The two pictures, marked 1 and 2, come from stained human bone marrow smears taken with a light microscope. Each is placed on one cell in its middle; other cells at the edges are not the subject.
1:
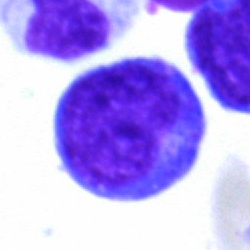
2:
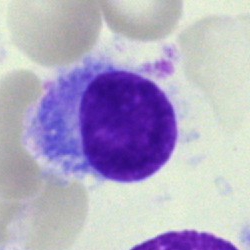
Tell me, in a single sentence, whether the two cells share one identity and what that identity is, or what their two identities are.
No, crop 1 captures a blast; meanwhile crop 2 captures a hairy cell.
